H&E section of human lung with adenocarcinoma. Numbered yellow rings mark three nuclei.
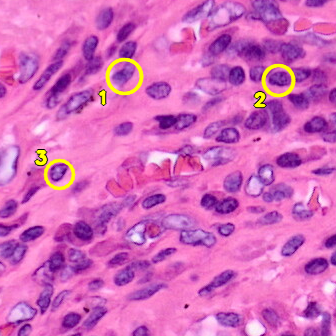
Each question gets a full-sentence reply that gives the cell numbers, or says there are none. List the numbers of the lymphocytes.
Cells 1 and 2 share one type; they are lymphocytes.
